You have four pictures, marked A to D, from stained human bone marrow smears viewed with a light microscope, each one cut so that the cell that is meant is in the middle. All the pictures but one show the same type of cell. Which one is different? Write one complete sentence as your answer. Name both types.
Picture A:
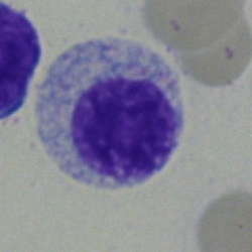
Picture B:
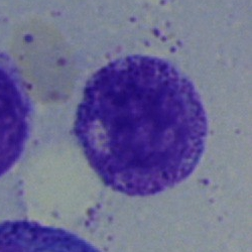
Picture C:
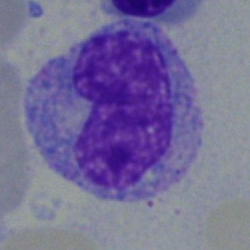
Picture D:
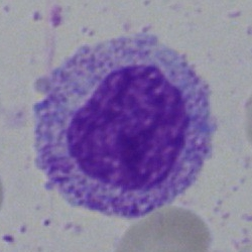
The different one is picture C; it shows a monocyte, whereas all the others show myelocytes.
